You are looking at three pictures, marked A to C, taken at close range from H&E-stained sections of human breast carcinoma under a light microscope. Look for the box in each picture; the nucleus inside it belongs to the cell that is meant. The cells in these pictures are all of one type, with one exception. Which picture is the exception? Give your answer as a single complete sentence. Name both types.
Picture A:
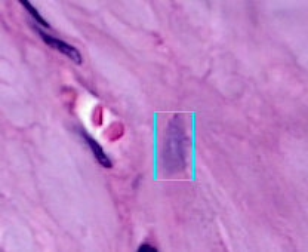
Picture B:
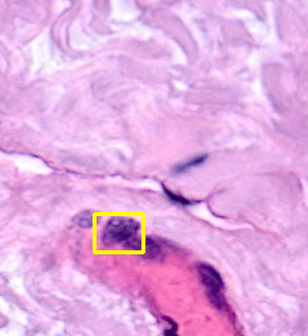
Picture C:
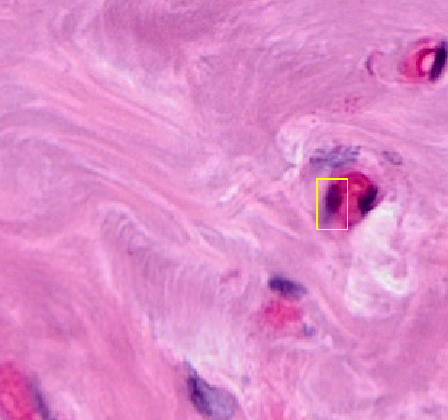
Picture A differs, because its cell is a fibroblast and the rest are endothelial cells.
